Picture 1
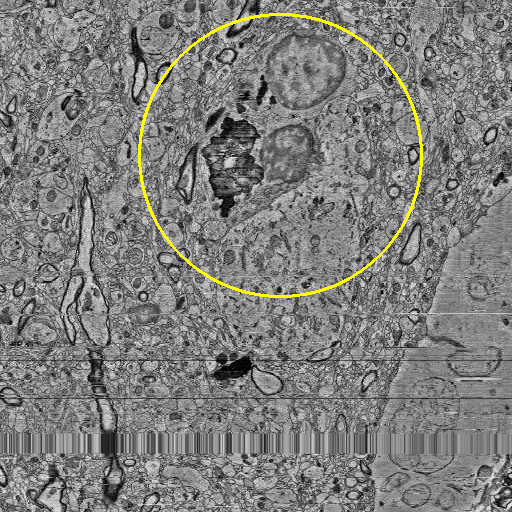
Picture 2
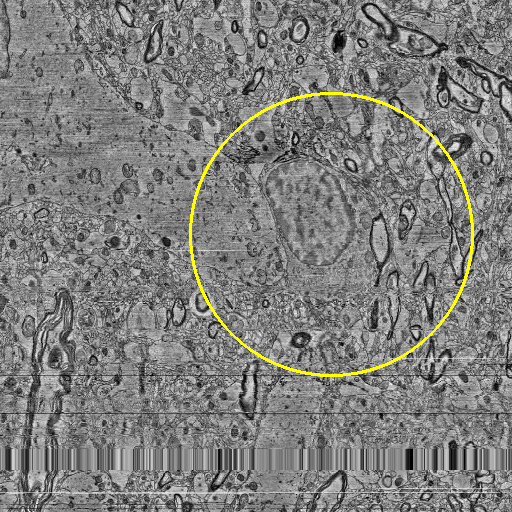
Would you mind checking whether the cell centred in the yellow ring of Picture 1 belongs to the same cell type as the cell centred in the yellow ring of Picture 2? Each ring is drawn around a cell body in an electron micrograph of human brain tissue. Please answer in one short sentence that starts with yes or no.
Yes, both cells are of the same type.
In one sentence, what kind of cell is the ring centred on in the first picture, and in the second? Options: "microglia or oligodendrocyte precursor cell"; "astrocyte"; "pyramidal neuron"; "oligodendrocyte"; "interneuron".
Each of the two rings is centred on an oligodendrocyte.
